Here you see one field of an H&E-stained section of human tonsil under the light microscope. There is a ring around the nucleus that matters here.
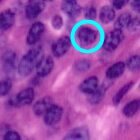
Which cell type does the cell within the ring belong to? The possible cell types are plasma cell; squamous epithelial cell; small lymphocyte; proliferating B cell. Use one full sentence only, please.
It is a plasma cell that the cell within the ring represents.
